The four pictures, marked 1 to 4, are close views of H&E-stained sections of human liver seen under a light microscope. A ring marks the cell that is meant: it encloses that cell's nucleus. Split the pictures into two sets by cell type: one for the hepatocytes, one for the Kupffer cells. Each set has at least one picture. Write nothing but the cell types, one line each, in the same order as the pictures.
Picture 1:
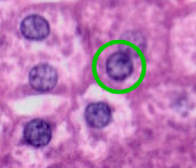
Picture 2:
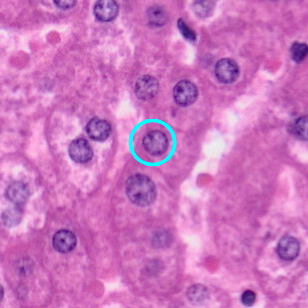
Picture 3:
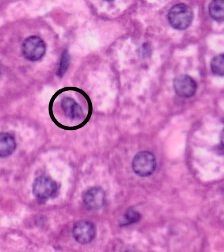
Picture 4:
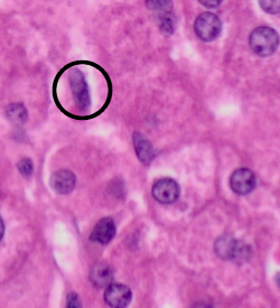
hepatocyte
hepatocyte
Kupffer cell
Kupffer cell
